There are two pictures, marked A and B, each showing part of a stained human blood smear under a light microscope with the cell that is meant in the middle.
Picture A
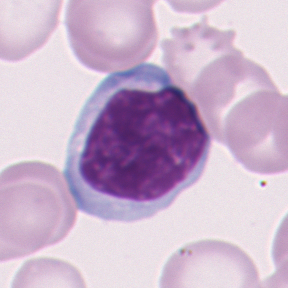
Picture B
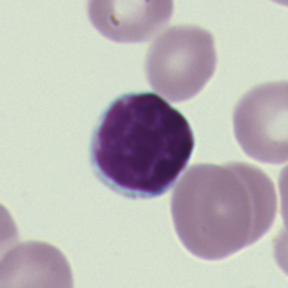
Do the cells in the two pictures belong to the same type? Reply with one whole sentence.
Yes, the two pictures both show typical lymphocytes.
